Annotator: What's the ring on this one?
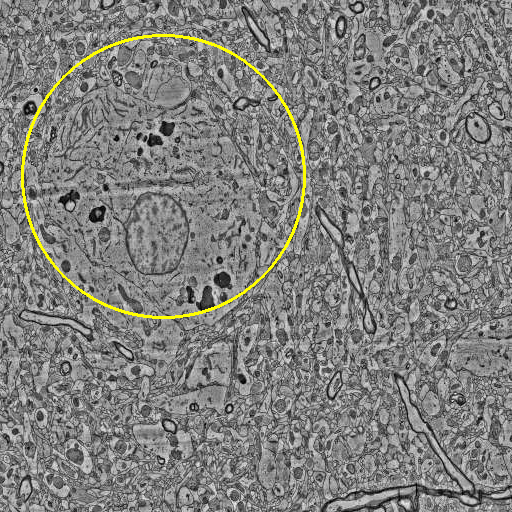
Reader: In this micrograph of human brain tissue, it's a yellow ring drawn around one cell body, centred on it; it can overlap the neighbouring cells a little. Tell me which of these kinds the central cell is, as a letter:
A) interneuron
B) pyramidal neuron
B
